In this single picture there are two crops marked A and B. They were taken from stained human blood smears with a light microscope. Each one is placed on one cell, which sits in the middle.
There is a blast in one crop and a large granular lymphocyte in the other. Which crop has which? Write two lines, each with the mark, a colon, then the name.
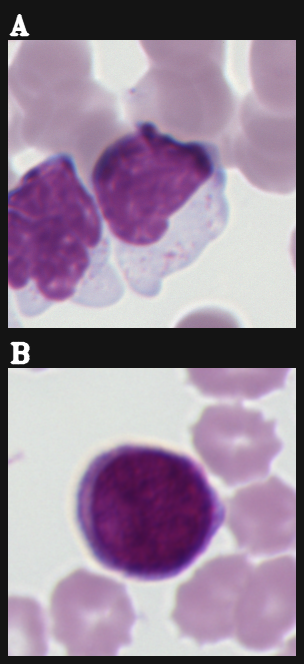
A: large granular lymphocyte
B: blast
